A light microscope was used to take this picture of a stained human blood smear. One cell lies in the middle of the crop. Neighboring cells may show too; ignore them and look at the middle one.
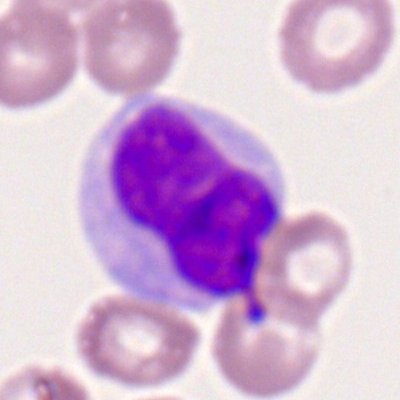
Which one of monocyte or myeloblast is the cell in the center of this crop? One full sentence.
Regarding the central cell, it is a monocyte.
